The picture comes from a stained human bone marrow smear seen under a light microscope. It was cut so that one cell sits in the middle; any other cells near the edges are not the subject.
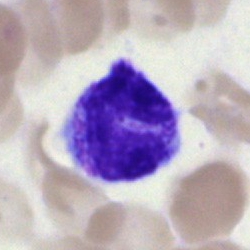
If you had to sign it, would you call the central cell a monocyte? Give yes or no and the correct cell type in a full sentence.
Yes, the cell in the middle is a monocyte.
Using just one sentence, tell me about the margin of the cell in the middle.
In outline, the cell is irregular, ragged in stretches or drawn into projections.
